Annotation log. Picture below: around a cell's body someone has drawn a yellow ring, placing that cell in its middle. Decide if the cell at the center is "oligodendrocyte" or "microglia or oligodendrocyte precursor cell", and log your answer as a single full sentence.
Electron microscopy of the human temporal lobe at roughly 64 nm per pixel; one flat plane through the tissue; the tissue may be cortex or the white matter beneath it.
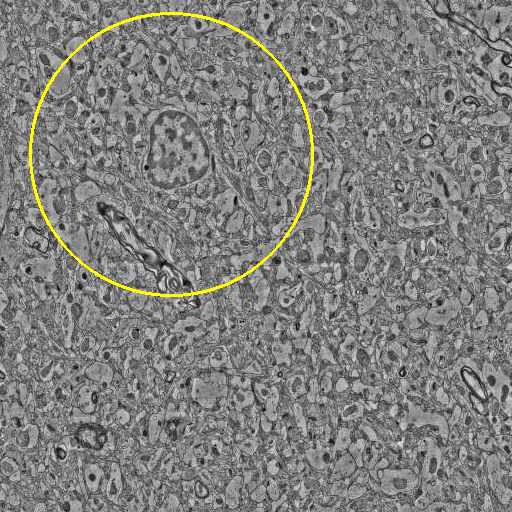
My entry records a microglial cell or oligodendrocyte precursor cell as the cell sitting at the center of the yellow ring.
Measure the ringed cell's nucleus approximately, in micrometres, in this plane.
Approximately 5 micrometres across, in this plane.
